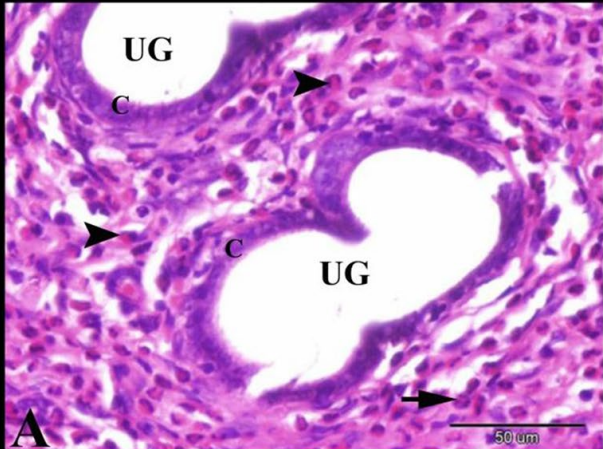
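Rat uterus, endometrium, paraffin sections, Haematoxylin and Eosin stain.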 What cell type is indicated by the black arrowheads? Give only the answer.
Eosinophils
